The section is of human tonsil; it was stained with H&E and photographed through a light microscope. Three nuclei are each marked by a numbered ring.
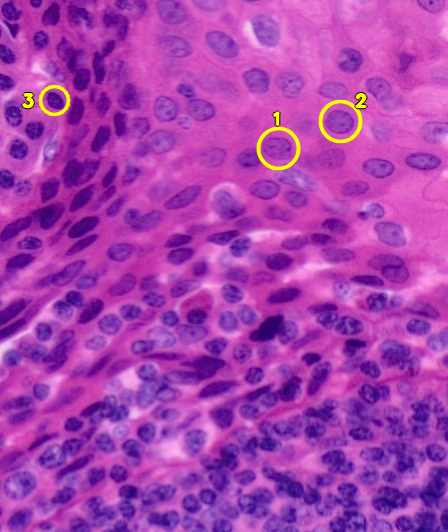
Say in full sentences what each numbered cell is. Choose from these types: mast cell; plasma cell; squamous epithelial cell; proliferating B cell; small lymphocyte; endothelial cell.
Cells 1 and 2 are squamous epithelial cells. Cell 3 is a plasma cell.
